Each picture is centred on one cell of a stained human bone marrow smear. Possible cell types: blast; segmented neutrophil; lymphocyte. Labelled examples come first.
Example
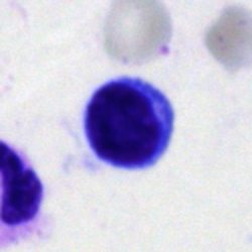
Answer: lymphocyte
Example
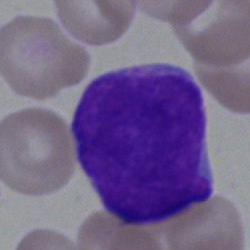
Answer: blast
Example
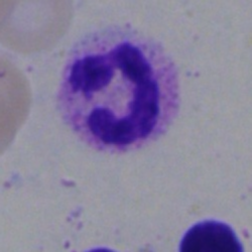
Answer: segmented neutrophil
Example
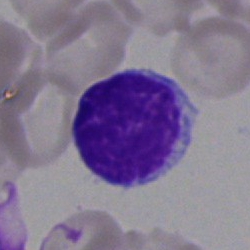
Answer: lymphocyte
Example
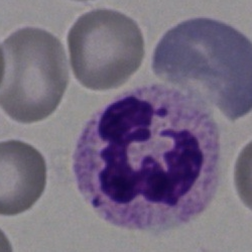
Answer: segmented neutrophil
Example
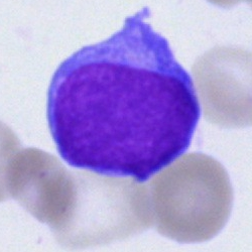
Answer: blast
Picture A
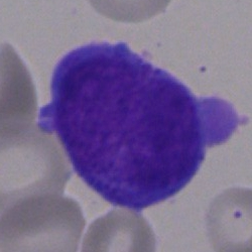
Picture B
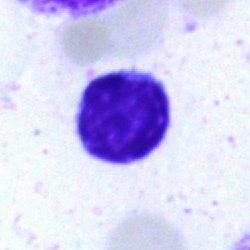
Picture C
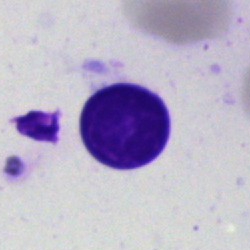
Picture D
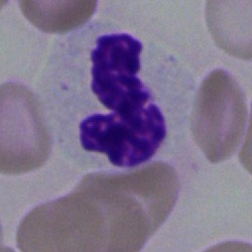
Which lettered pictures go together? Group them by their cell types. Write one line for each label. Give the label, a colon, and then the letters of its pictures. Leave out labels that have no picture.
blast: A
segmented neutrophil: D
lymphocyte: B, C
